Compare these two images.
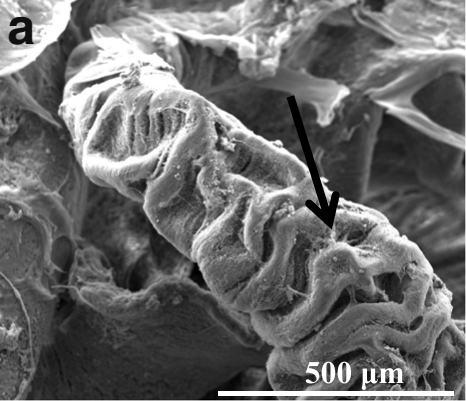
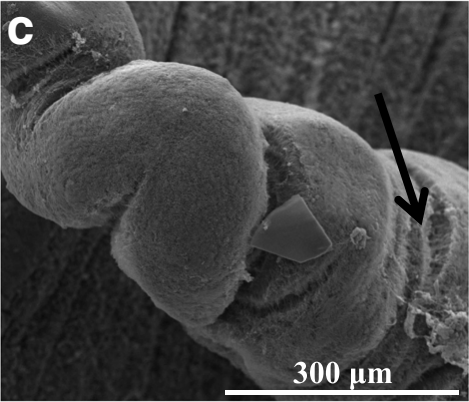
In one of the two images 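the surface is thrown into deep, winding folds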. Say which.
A: The first image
